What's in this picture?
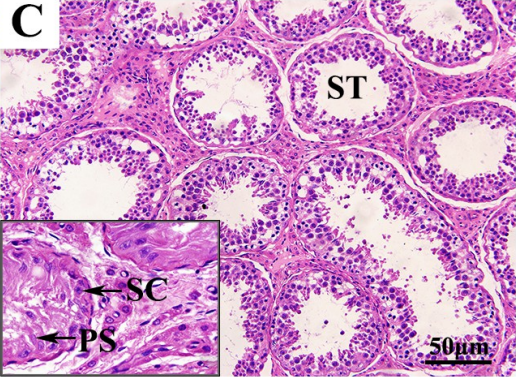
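Testis with many seminiferous tubules cut in cross-section, each lined by a stratified germinal epithelium of densely packed round, dark purple nuclei around a pale central lumen. Thin pink interstitial connective tissue lies between the tubules.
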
